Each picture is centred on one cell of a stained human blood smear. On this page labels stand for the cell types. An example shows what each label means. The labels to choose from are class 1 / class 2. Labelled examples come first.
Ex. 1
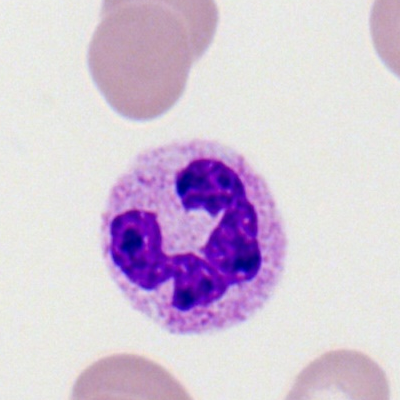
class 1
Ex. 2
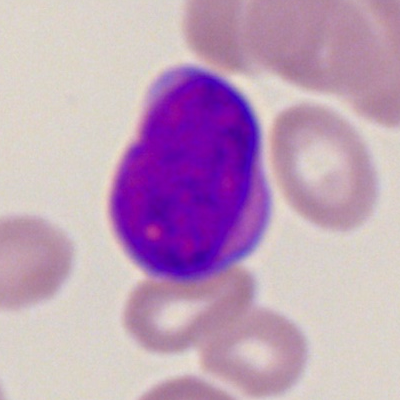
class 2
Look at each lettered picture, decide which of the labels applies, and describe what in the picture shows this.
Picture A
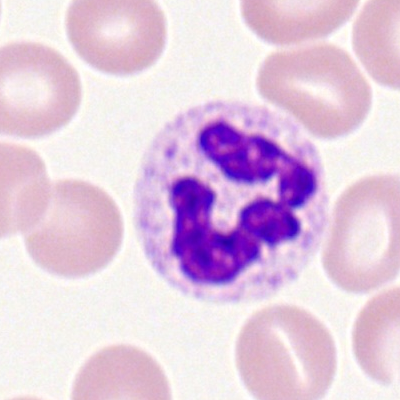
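class 1: The nucleus is divided into several separate lobes.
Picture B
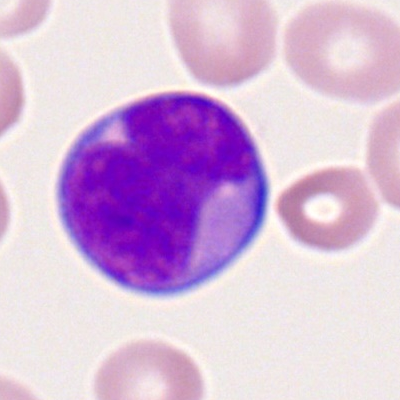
class 2: The nucleus fills most of the cell.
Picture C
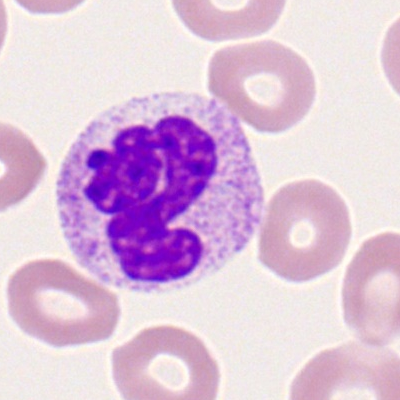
class 1: The cytoplasm is plentiful and pale pinkish-lilac.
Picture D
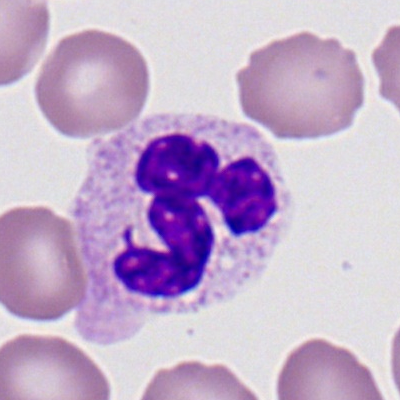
class 1: The cytoplasm is abundant and pale lilac-pink.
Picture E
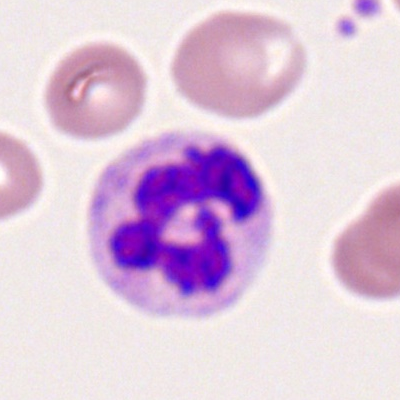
class 1: The nucleus is divided into several separate lobes.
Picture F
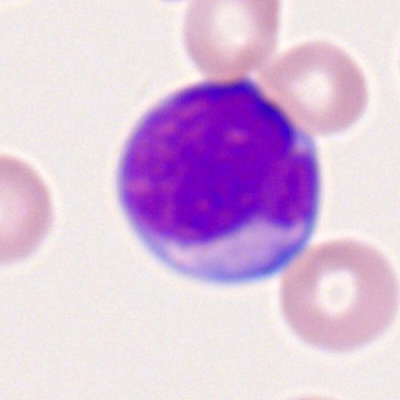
class 2: The nucleus fills most of the cell.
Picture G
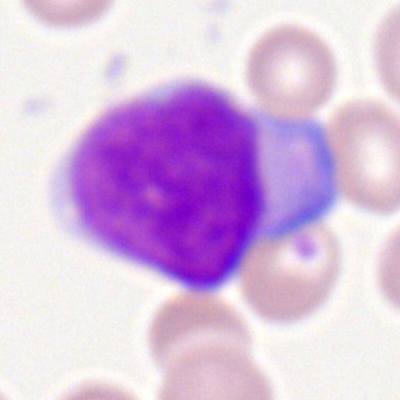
class 2: The nucleus fills most of the cell.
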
